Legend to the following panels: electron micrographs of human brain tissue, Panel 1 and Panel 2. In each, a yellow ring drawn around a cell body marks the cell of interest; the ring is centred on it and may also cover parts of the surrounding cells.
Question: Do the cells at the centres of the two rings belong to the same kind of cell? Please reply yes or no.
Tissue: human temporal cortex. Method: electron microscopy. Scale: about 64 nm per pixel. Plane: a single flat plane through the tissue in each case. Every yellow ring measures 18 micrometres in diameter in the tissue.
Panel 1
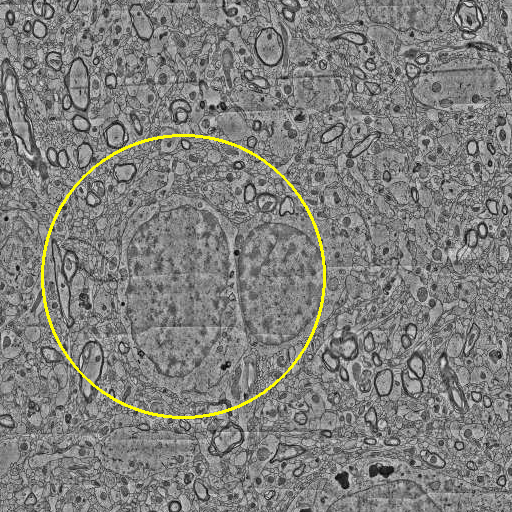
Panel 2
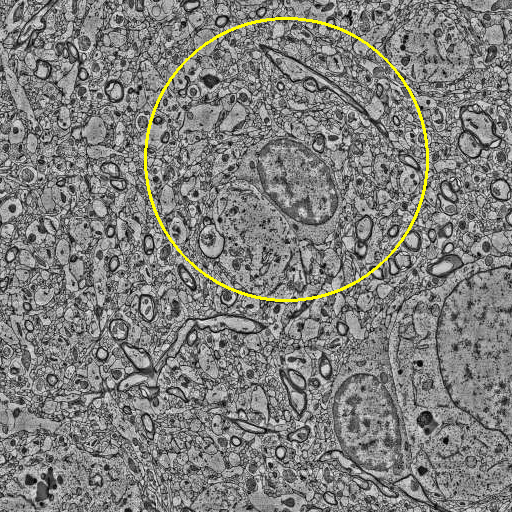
no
